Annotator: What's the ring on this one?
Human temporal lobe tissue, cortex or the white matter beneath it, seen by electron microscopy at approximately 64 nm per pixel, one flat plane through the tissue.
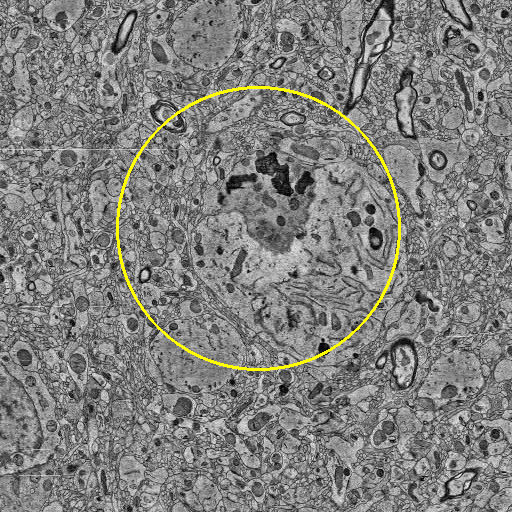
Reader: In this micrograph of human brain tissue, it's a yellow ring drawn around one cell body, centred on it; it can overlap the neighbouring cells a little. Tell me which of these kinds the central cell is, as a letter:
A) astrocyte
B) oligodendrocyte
B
